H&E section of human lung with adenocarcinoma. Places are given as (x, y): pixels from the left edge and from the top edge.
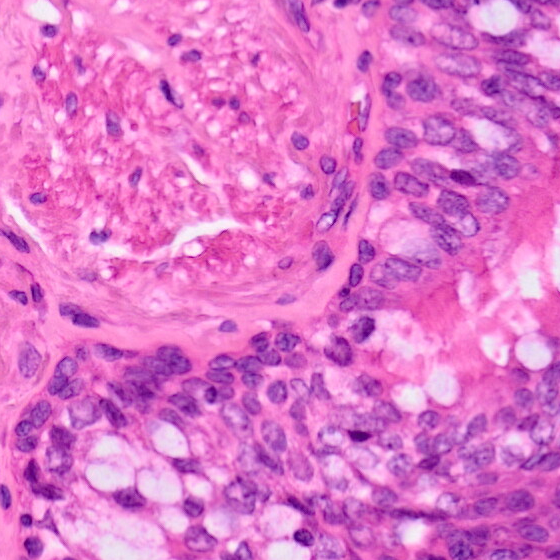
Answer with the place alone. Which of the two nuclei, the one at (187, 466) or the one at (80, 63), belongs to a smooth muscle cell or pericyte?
(80, 63)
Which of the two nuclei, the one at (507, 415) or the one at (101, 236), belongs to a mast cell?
(101, 236)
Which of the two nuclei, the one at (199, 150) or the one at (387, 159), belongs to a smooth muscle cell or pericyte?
(199, 150)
